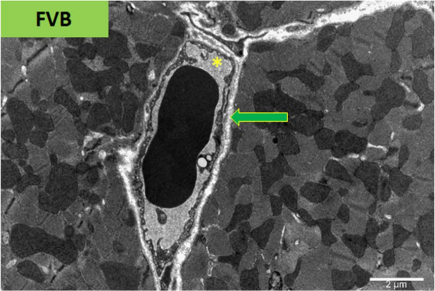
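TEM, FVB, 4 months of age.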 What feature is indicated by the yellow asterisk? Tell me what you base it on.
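Lumen of capillaries. The asterisk lies in a small vessel space enclosed by a thin cell wall. An electron-dense red blood cell fills most of this space. The vessel lies between muscle cells packed with mitochondria.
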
